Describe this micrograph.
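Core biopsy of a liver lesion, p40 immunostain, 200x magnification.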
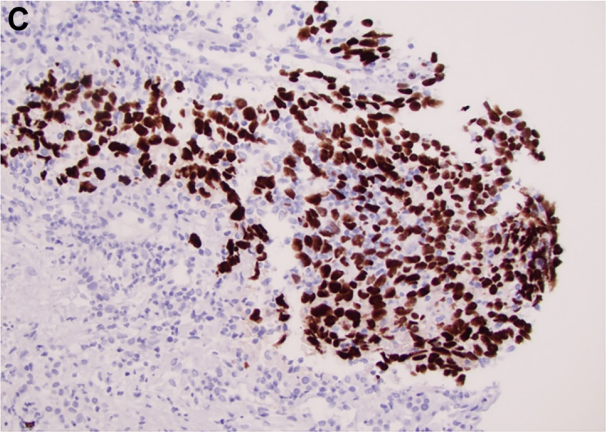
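A cluster of tumor cells shows strong brown staining of their nuclei, diffusely throughout the nest. The surrounding stroma contains cells with small blue, unstained nuclei, so the stained nest stands out sharply from the background tissue.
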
